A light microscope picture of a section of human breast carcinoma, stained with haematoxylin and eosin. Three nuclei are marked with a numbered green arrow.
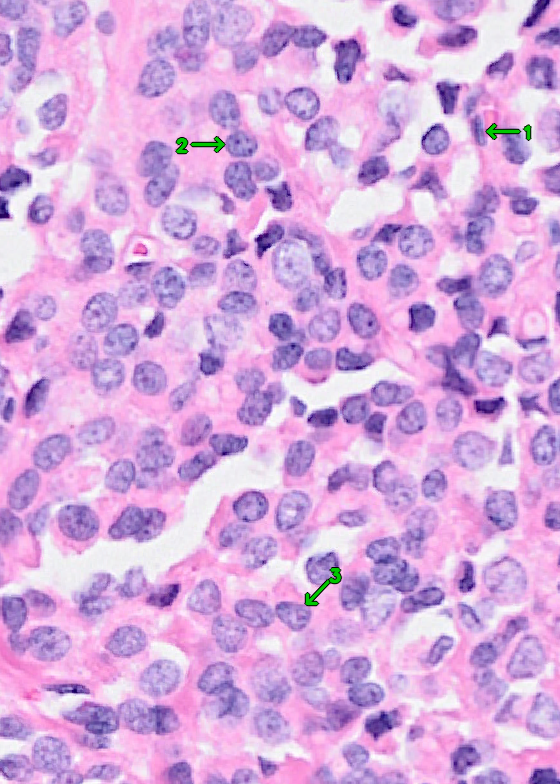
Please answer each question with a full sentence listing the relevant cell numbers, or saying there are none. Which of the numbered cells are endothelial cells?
Only the cell carrying number 1 is an endothelial cell.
